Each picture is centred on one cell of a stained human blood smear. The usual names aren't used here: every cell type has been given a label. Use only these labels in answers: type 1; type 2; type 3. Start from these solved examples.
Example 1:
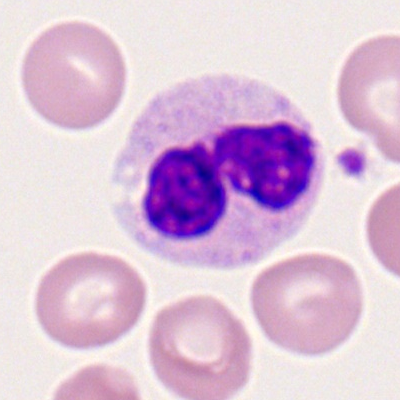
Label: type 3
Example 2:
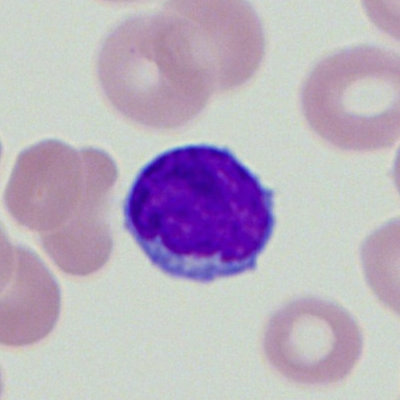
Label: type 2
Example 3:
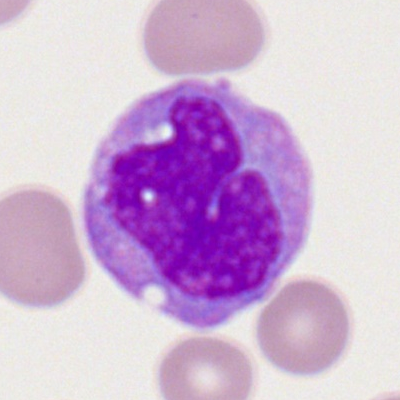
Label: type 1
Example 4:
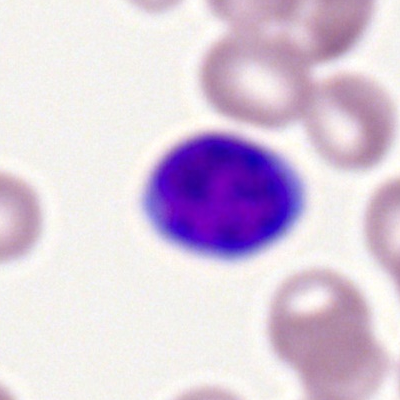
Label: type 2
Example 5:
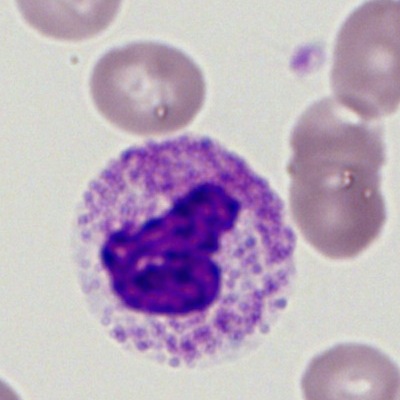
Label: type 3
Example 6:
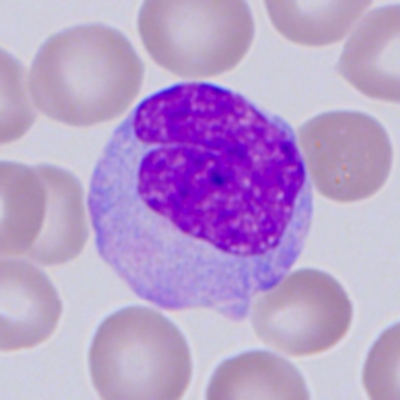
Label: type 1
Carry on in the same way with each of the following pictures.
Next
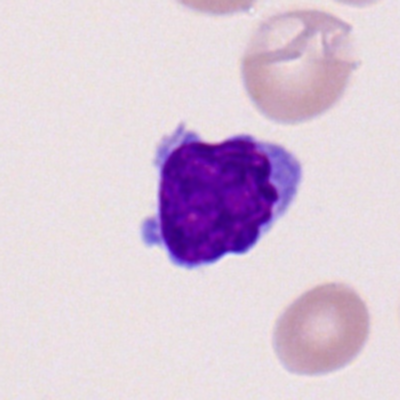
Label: type 2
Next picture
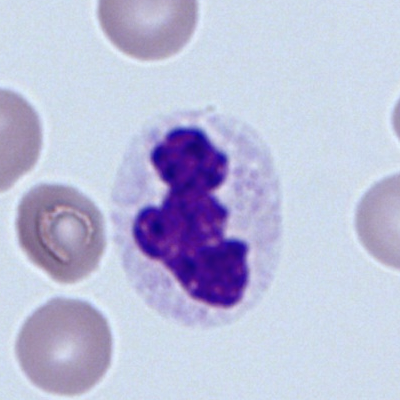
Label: type 3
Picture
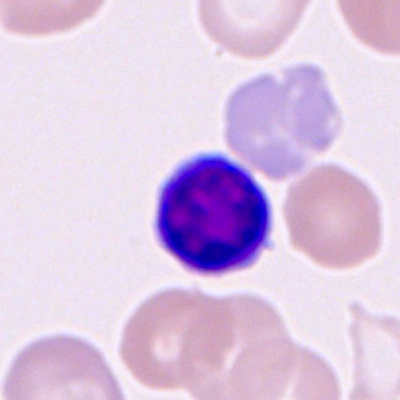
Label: type 2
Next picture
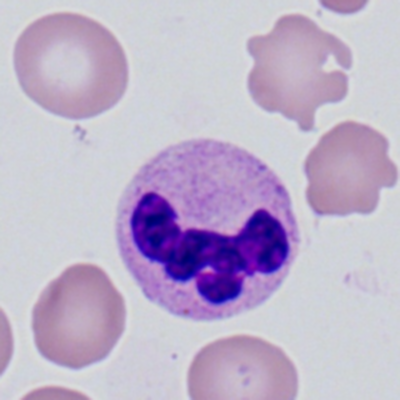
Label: type 3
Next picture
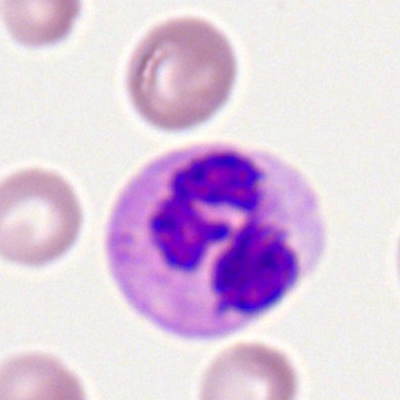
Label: type 3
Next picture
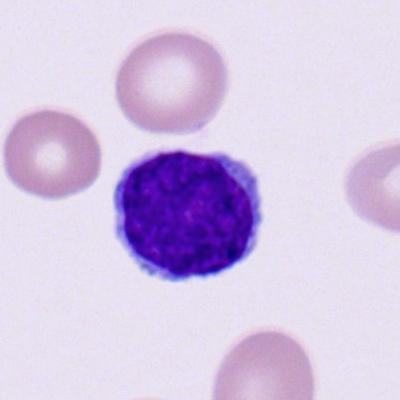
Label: type 2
